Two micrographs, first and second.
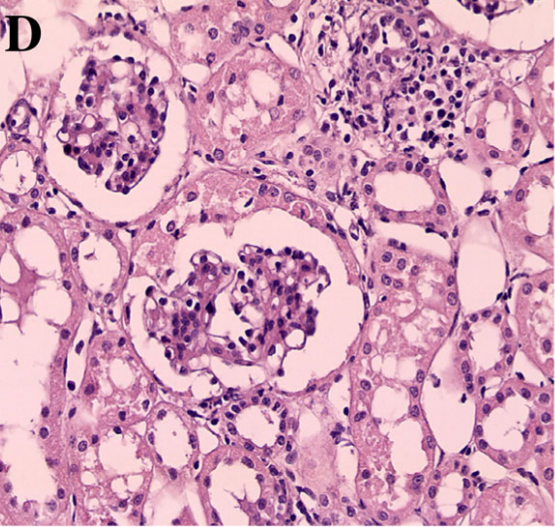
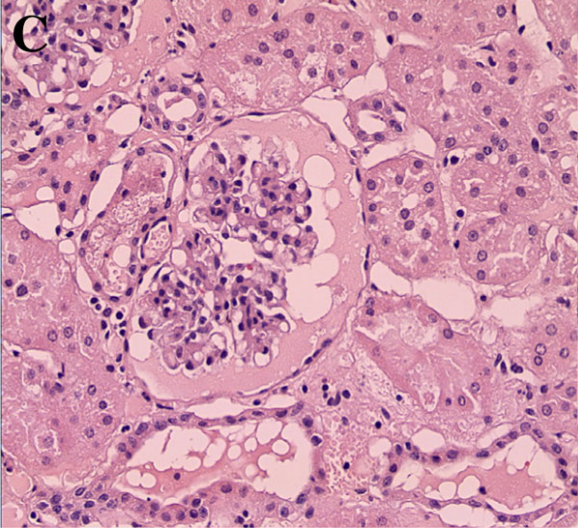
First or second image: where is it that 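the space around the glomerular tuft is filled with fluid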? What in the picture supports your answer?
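The second image. First image: the spaces around the shrunken tufts look clear and white. Second image: the space around the shrunken tuft holds pale pink material.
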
